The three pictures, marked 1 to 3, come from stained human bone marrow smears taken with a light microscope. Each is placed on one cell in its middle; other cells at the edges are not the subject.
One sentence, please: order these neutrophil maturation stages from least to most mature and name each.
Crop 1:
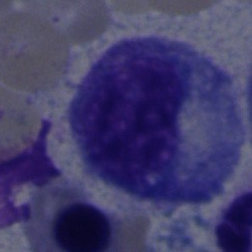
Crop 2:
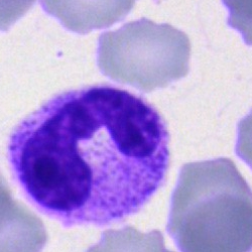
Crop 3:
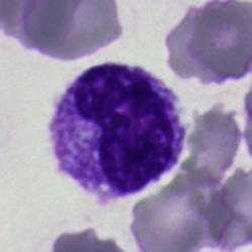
So the order, from least to most mature, is crop 1 (a promyelocyte), crop 3 (a metamyelocyte) and crop 2 (a band neutrophil).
